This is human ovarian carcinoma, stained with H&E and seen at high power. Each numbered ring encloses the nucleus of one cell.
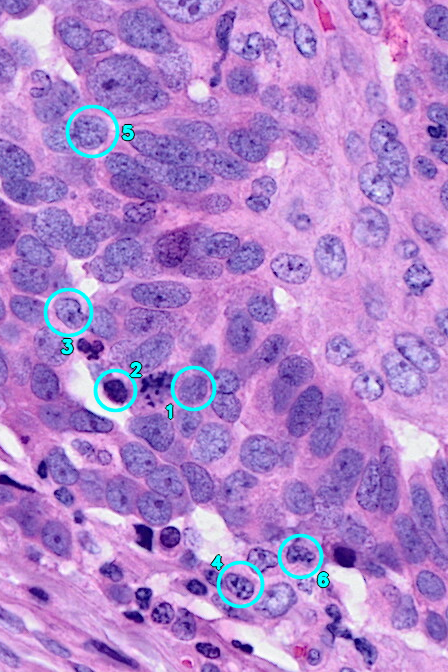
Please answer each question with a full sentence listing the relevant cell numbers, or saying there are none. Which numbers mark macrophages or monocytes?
The cells identified by the numbers 3, 4 and 6 are macrophages or monocytes.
